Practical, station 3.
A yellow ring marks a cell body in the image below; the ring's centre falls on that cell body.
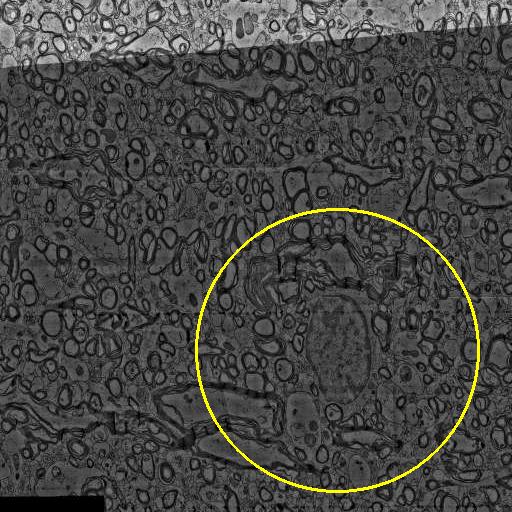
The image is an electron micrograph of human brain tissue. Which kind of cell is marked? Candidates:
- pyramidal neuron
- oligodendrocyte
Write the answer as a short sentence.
The marked cell body is that of an oligodendrocyte.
